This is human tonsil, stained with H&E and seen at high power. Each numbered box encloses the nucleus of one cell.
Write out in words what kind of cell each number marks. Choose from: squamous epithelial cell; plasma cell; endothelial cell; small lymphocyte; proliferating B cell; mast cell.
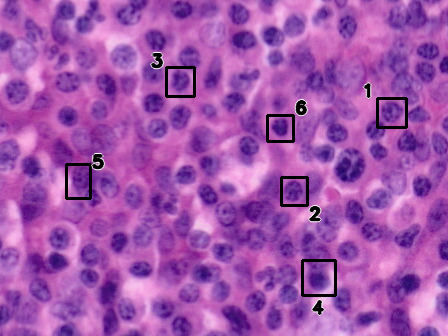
Cells 1, 2, 3 and 6 are plasma cells. Cells 4 and 5 are squamous epithelial cells.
